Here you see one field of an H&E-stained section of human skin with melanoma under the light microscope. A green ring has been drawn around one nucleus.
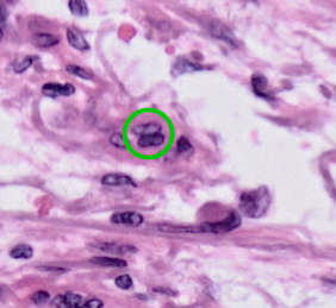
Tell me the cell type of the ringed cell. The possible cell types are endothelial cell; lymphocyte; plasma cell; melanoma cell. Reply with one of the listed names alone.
endothelial cell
